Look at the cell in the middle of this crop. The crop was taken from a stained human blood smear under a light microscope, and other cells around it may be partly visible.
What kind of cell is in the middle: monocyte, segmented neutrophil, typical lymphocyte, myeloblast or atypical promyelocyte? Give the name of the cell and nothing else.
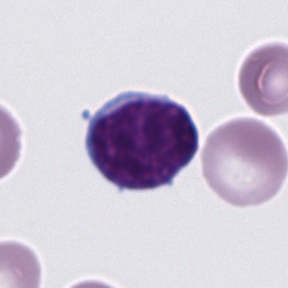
typical lymphocyte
